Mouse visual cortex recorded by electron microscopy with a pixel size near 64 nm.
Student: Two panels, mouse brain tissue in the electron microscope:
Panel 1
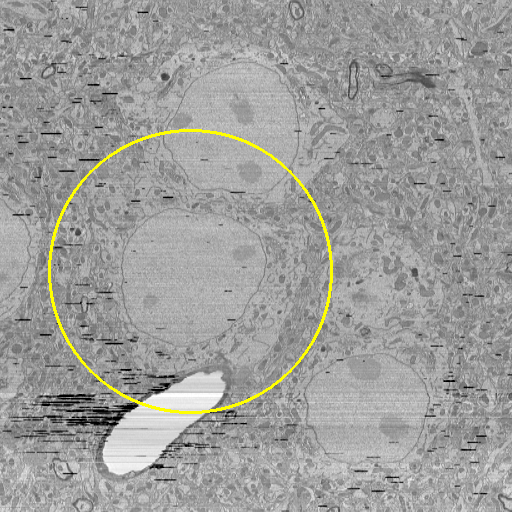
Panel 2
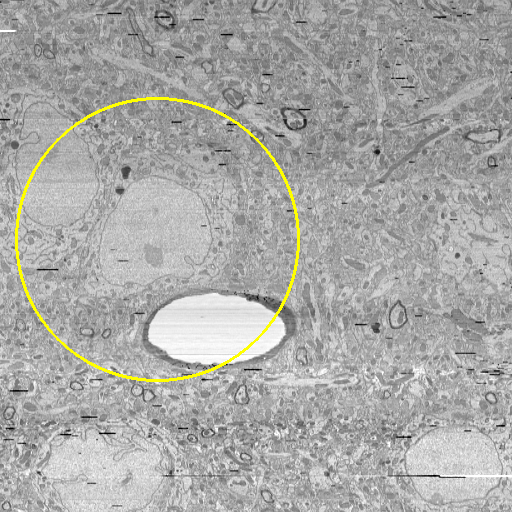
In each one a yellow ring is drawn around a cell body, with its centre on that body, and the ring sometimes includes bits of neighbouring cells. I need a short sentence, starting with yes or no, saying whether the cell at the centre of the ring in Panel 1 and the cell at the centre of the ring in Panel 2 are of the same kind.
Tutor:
Yes, they are the same kind of cell.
